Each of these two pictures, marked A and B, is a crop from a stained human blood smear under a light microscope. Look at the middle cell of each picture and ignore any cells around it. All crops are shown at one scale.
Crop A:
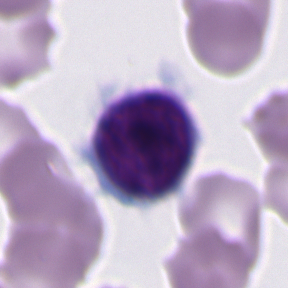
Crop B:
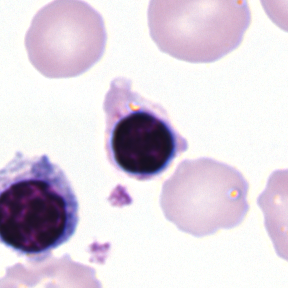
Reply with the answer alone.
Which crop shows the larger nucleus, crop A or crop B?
A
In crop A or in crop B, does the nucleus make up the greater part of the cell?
A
